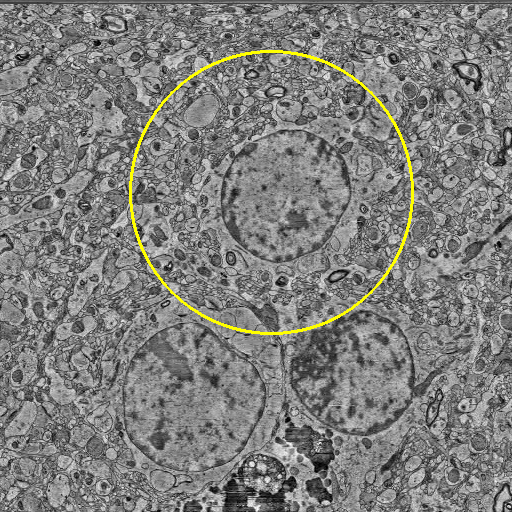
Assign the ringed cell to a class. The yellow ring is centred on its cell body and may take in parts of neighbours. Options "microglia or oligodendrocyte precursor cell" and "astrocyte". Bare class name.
astrocyte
